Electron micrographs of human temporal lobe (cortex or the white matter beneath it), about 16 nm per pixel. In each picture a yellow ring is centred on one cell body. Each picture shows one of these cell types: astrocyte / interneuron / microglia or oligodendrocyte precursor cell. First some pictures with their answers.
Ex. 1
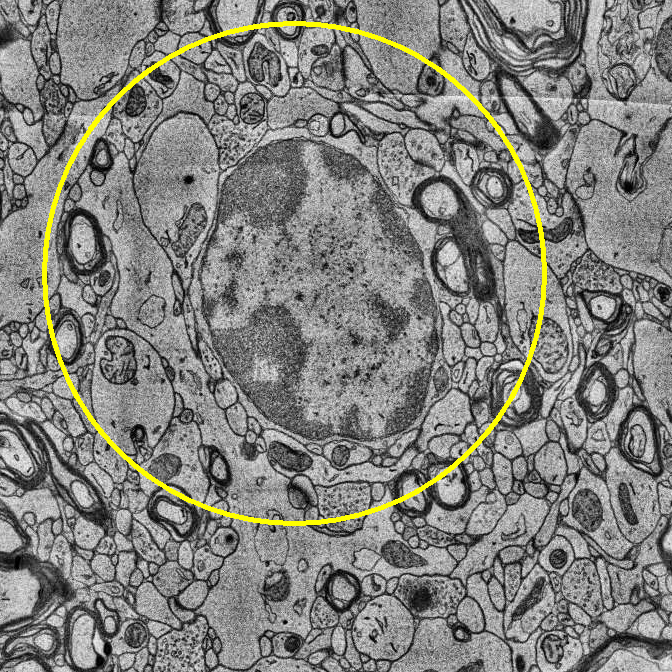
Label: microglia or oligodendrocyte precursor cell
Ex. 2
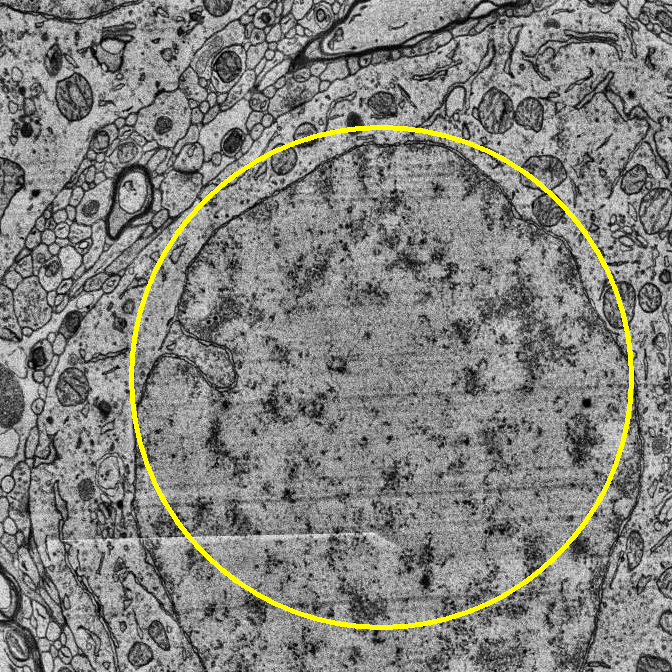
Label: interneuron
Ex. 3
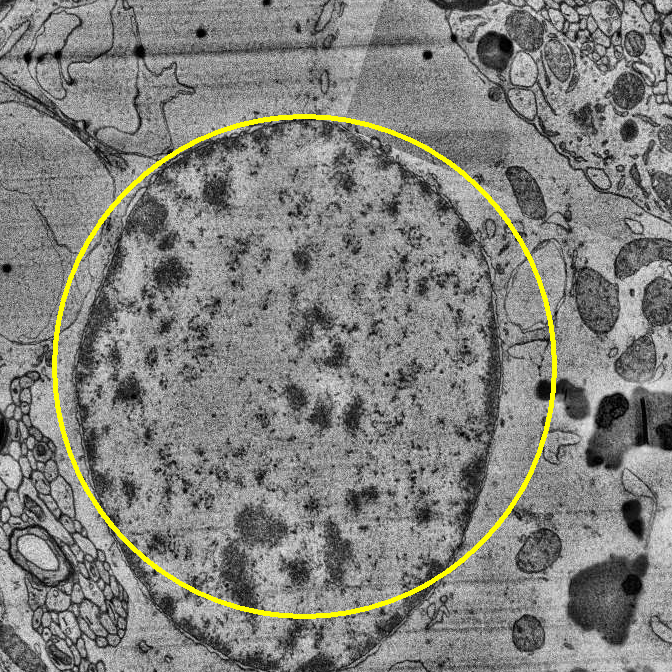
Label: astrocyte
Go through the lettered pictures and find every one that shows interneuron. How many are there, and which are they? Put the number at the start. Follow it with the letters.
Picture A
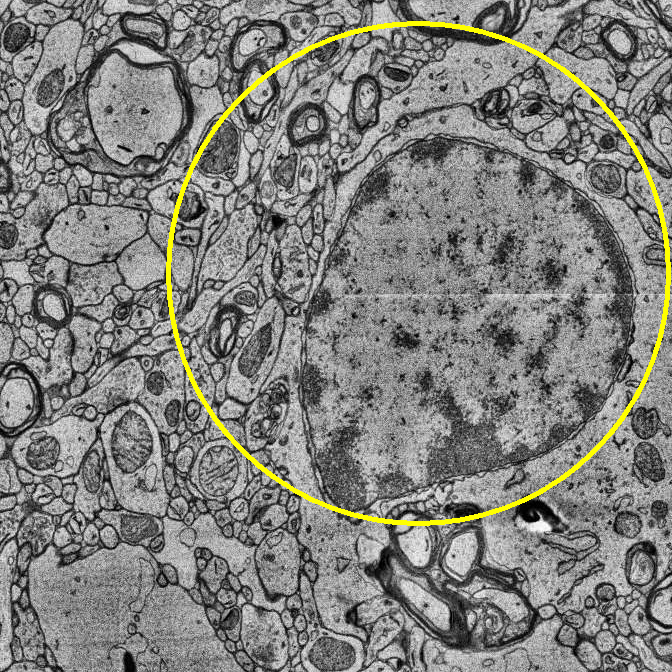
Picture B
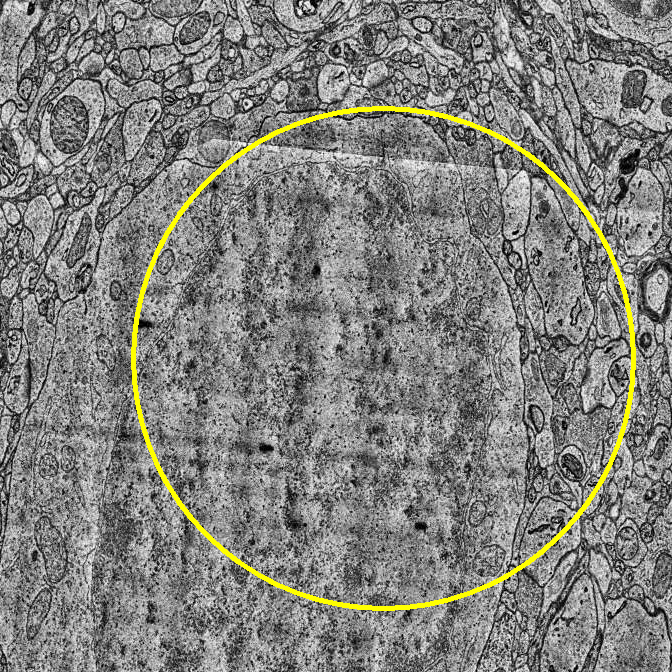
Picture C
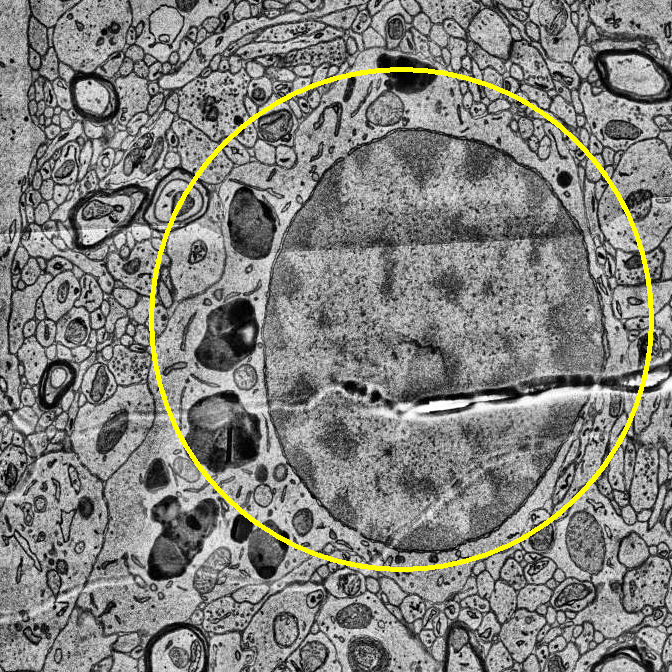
1, namely B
